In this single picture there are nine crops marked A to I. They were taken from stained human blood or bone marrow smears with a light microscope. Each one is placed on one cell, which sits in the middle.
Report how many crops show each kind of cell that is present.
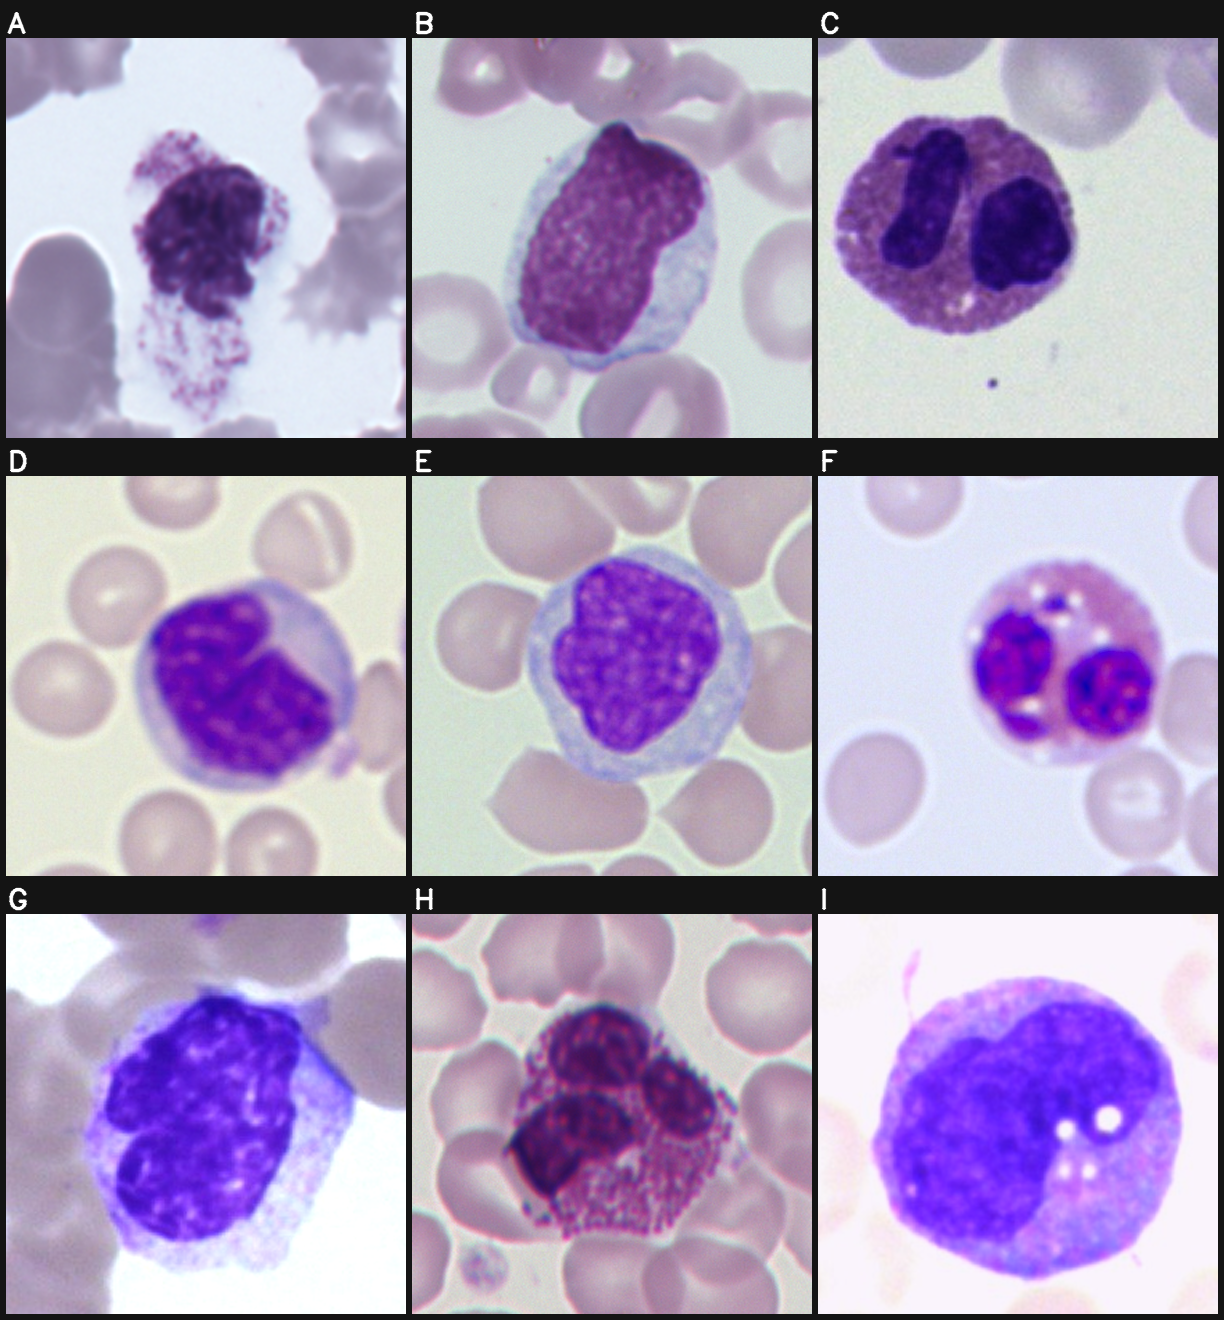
monocyte: 5
eosinophil: 3
basophil: 1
